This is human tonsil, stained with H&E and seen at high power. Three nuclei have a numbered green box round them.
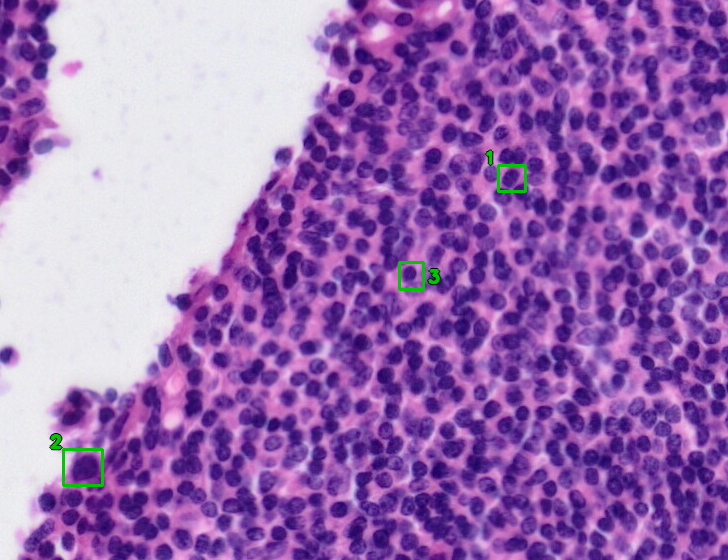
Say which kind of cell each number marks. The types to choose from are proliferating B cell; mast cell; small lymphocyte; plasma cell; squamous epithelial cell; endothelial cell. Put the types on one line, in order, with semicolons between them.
small lymphocyte; proliferating B cell; small lymphocyte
